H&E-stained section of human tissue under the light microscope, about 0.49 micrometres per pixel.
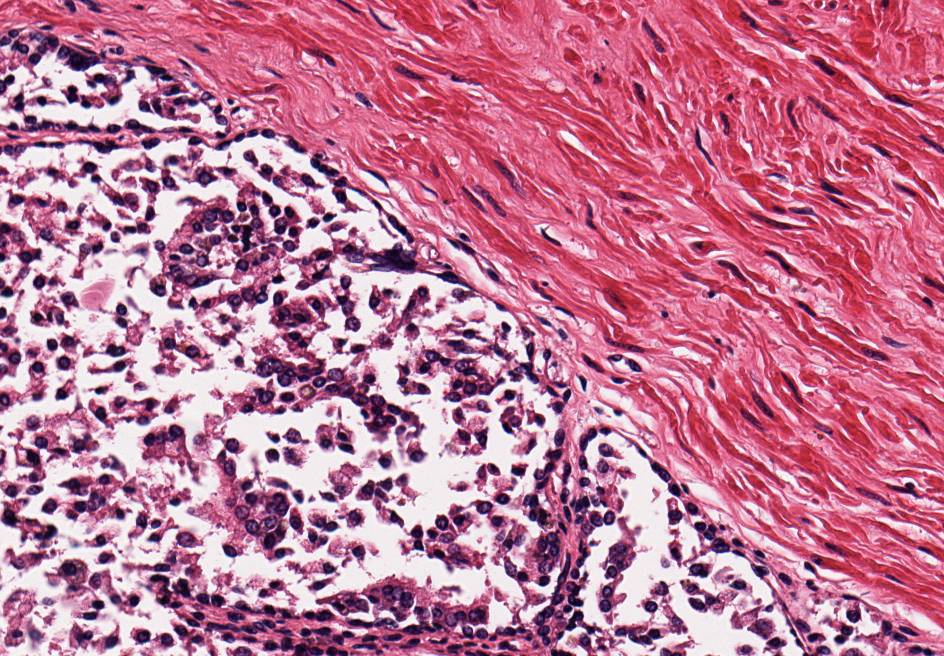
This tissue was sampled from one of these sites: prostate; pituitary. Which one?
prostate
